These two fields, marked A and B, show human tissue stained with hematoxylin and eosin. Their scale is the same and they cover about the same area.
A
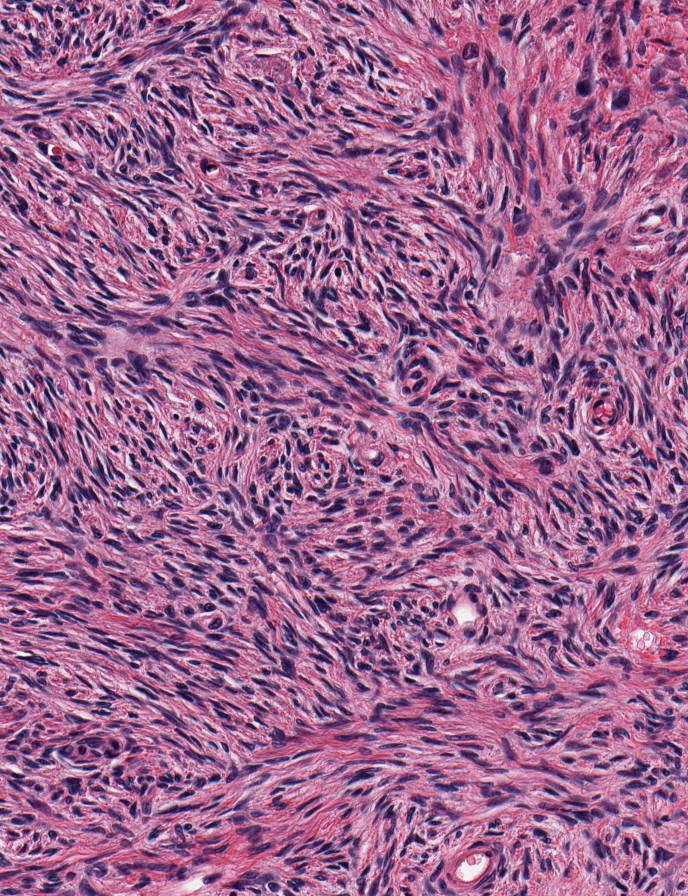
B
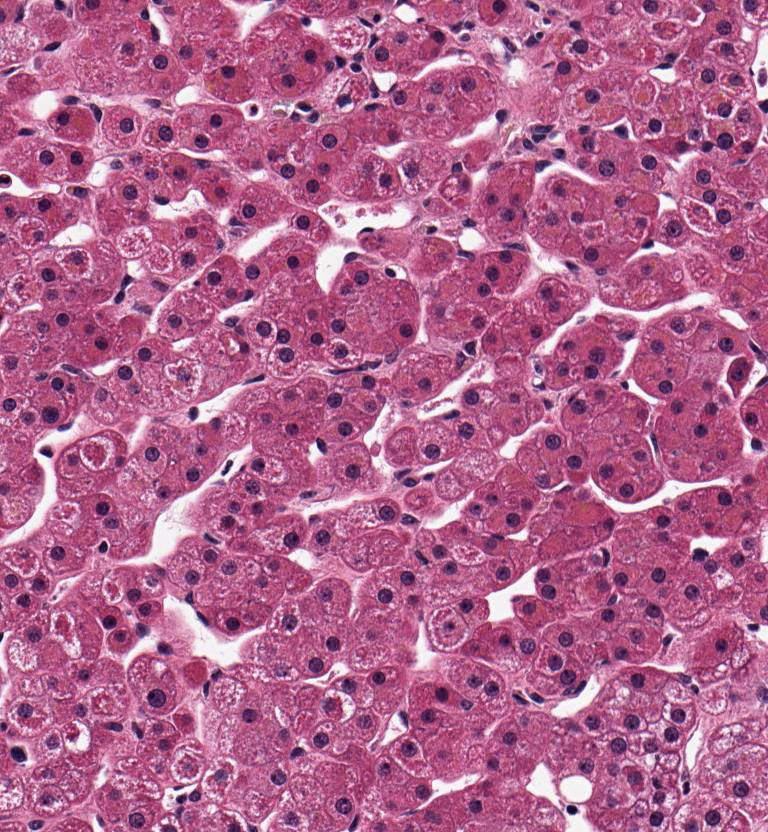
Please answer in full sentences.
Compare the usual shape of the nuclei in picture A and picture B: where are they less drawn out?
It is picture B whose nuclei are the rounder.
